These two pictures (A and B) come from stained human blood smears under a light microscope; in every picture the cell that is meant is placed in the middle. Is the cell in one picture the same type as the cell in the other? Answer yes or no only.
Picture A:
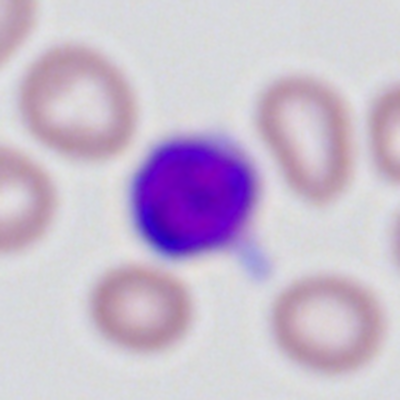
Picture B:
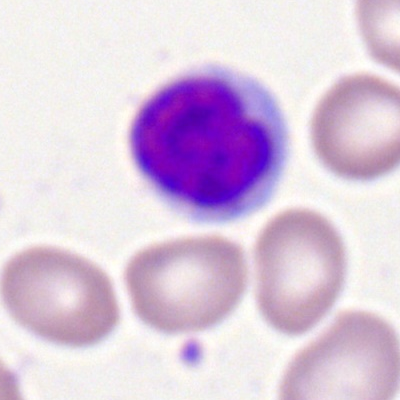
yes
